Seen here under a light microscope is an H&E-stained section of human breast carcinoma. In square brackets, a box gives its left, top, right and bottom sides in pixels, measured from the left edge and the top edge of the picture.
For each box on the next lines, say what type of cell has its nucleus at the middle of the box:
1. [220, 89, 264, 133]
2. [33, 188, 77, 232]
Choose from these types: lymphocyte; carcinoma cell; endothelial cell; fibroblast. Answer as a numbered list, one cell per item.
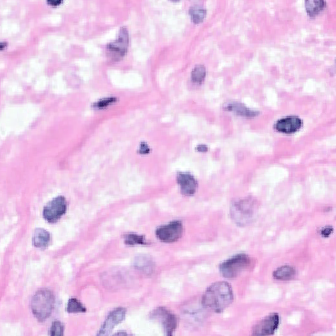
1. fibroblast
2. lymphocyte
